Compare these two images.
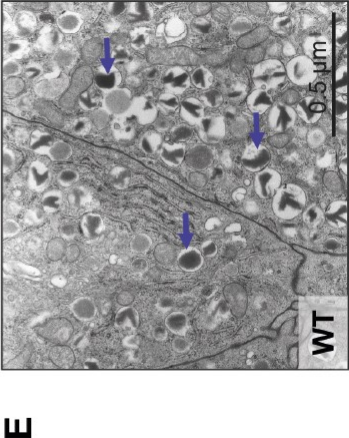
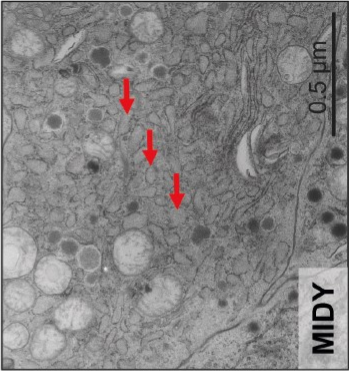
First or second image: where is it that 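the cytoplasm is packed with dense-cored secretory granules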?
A: The first image.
